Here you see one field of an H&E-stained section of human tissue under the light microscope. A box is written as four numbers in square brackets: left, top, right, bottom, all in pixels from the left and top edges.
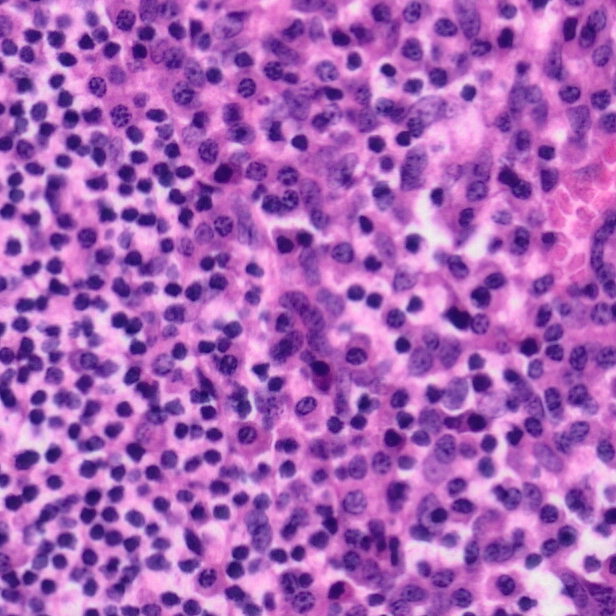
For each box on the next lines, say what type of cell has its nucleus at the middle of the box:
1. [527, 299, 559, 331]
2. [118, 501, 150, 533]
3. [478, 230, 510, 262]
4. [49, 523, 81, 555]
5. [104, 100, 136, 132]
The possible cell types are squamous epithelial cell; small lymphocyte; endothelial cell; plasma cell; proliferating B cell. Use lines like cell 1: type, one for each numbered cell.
cell 1: plasma cell
cell 2: small lymphocyte
cell 3: plasma cell
cell 4: small lymphocyte
cell 5: plasma cell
